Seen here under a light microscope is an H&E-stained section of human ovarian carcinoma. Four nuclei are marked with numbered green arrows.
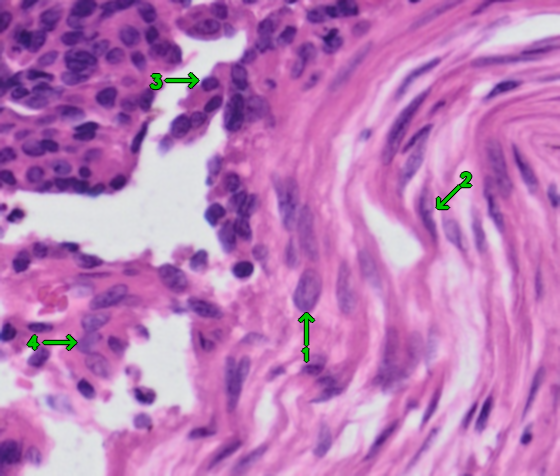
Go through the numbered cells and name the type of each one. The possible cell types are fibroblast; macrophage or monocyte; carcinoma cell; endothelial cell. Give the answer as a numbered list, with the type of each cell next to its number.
1. fibroblast
2. fibroblast
3. carcinoma cell
4. endothelial cell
